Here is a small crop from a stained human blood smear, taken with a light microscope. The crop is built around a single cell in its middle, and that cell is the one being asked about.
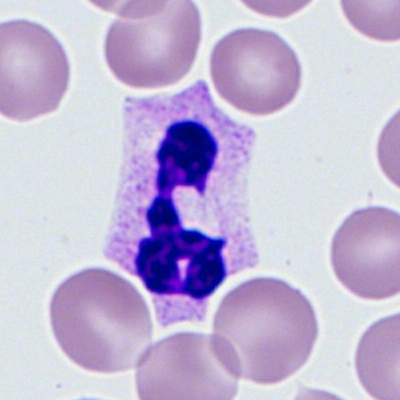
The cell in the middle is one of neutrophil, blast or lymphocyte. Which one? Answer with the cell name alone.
neutrophil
